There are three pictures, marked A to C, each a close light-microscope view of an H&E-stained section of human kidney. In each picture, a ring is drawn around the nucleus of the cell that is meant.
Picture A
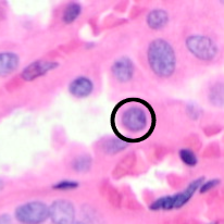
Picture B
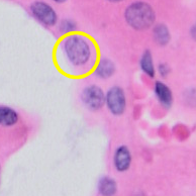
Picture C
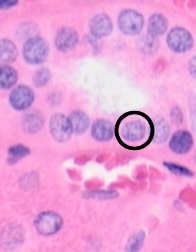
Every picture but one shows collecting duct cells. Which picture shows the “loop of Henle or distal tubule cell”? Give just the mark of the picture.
A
